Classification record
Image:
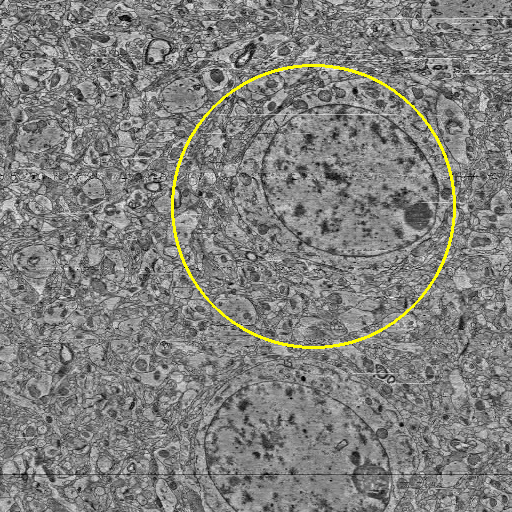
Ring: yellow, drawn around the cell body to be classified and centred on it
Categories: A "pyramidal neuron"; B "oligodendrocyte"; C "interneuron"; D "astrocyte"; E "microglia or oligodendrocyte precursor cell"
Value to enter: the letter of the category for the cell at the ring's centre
A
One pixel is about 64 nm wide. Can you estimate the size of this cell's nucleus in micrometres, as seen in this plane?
The ringed cell's nucleus is about 12 micrometres long and 10 micrometres wide in this plane.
